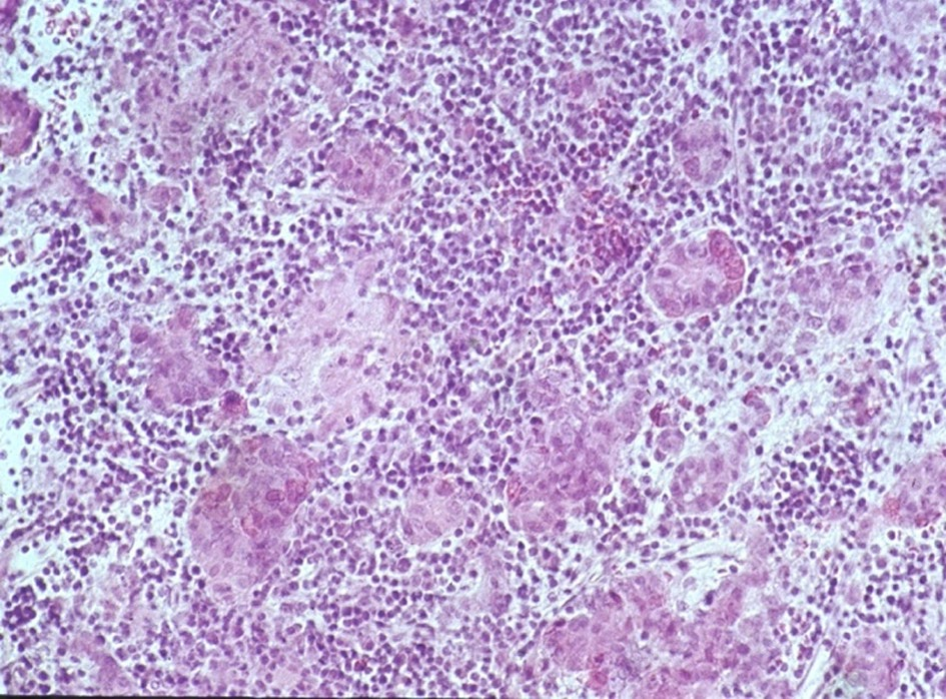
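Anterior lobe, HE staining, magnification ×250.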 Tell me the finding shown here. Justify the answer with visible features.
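Dense sheets of small round cells with dark purple nuclei and scant cytoplasm fill most of the field. These small round cells lie between and around the larger pink cell groups.
Lymphocytic infiltration.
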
